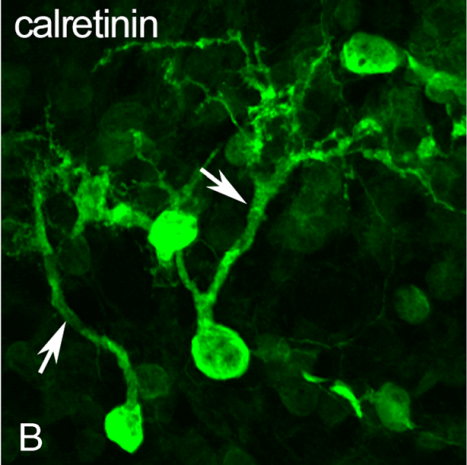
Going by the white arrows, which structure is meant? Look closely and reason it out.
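Long, branching processes. The arrows point to long, thin green processes that extend far from round cell bodies. The processes branch and run across the field rather than ending in a compact tuft.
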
